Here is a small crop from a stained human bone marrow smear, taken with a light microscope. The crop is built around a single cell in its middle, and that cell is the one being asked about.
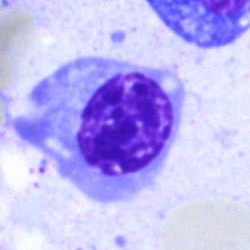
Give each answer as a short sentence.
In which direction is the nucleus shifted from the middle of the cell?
The nucleus sits off-centre, toward the right.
